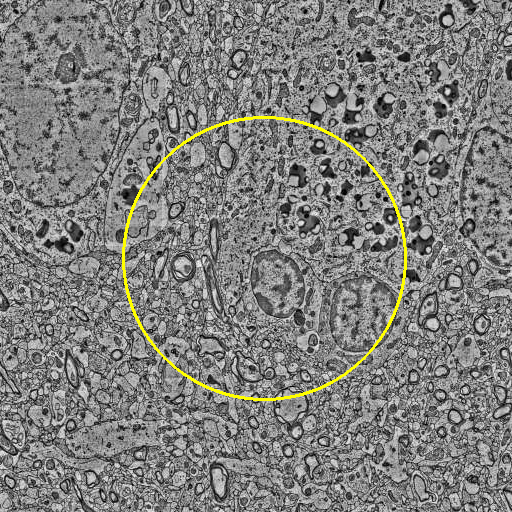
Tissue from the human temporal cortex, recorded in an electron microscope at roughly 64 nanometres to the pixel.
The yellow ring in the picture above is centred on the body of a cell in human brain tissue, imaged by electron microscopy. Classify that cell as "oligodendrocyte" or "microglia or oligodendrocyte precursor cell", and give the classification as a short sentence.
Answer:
The cell in the middle of the ring is a microglial cell or oligodendrocyte precursor cell.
